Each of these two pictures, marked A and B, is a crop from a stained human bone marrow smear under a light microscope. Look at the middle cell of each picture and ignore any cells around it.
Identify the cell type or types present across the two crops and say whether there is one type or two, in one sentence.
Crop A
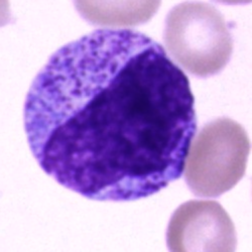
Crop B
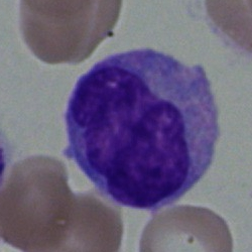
No, crop A has a promyelocyte in the middle, and crop B has a monocyte.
